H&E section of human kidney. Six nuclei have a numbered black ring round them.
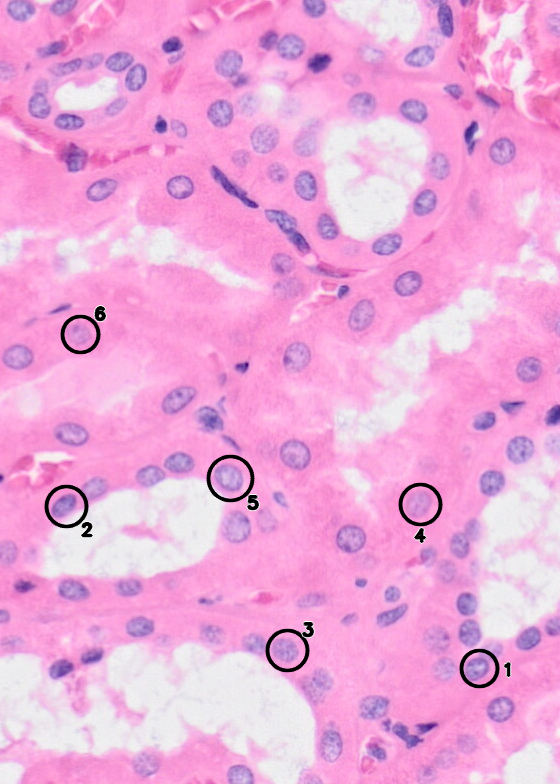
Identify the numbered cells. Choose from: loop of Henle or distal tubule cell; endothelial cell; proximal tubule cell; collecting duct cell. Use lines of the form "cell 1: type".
cell 1: loop of Henle or distal tubule cell
cell 2: loop of Henle or distal tubule cell
cell 3: loop of Henle or distal tubule cell
cell 4: proximal tubule cell
cell 5: loop of Henle or distal tubule cell
cell 6: proximal tubule cell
